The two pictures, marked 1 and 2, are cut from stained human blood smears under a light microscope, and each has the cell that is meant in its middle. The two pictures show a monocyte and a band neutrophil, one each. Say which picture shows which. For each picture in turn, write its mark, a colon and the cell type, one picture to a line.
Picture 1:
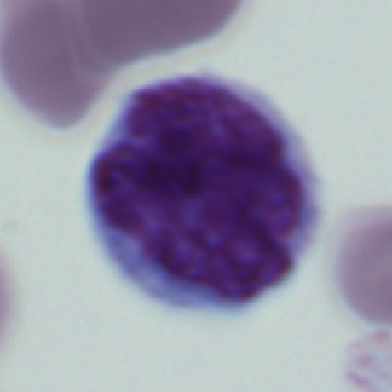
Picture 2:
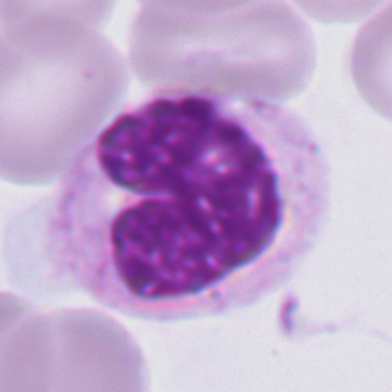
1: monocyte
2: band neutrophil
